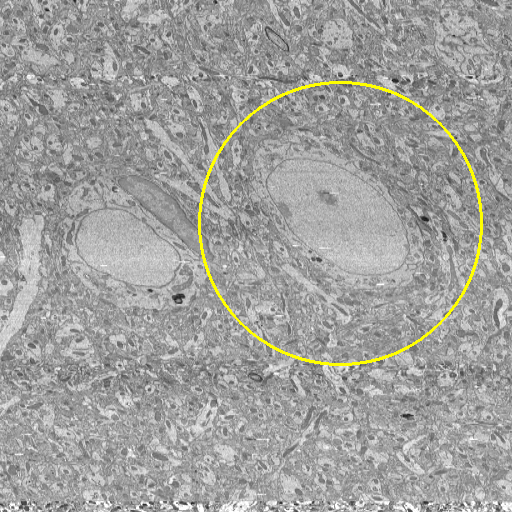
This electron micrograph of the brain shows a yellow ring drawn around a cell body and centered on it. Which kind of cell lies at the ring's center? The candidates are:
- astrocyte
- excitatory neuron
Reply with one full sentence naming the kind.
The cell lying at the ring's center in this micrograph is an excitatory neuron.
